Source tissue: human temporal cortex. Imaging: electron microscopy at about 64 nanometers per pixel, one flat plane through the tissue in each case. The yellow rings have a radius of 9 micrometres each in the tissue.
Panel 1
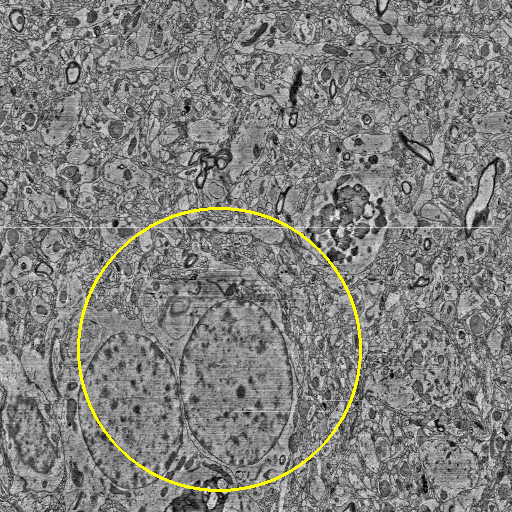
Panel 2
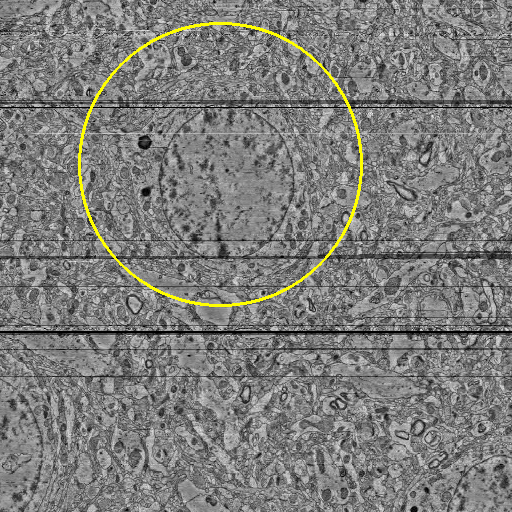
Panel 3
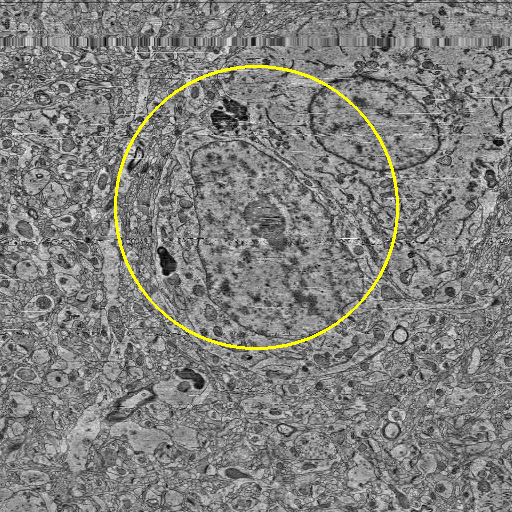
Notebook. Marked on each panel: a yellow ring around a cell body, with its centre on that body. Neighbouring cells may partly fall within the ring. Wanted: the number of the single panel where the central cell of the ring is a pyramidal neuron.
2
